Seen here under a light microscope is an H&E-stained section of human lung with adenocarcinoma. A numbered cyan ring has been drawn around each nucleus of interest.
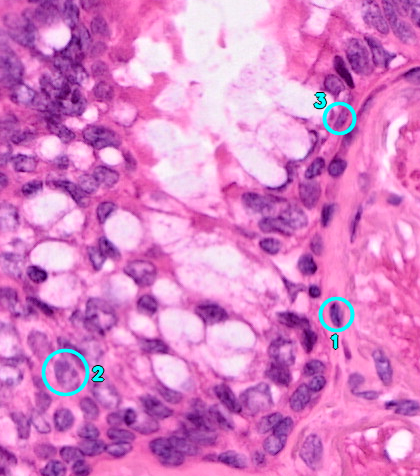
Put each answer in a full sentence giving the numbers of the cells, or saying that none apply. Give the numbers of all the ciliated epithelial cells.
The cells that bear the numbers 2 and 3 are ciliated epithelial cells.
